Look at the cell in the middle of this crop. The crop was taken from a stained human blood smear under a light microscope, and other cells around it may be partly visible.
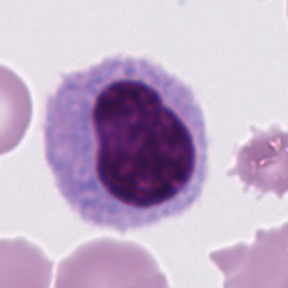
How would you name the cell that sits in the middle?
hairy cell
